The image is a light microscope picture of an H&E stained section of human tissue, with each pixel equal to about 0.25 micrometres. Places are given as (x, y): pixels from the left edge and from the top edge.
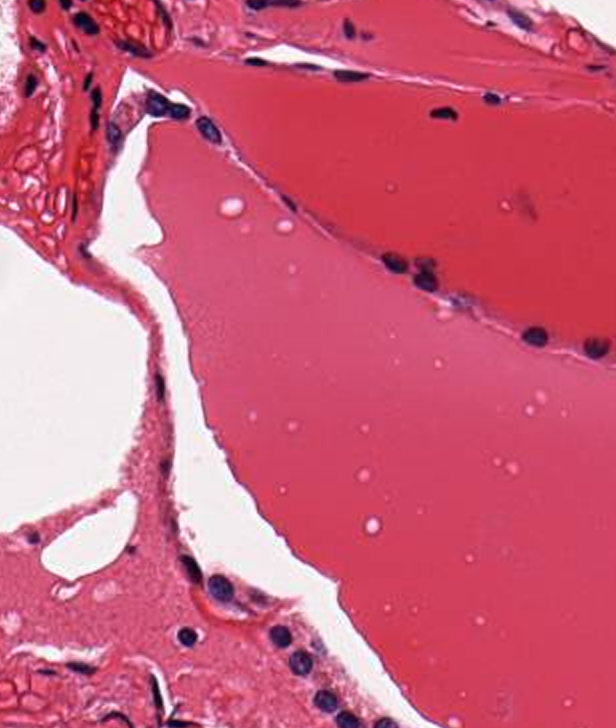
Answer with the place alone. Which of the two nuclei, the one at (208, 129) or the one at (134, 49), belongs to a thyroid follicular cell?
(208, 129)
